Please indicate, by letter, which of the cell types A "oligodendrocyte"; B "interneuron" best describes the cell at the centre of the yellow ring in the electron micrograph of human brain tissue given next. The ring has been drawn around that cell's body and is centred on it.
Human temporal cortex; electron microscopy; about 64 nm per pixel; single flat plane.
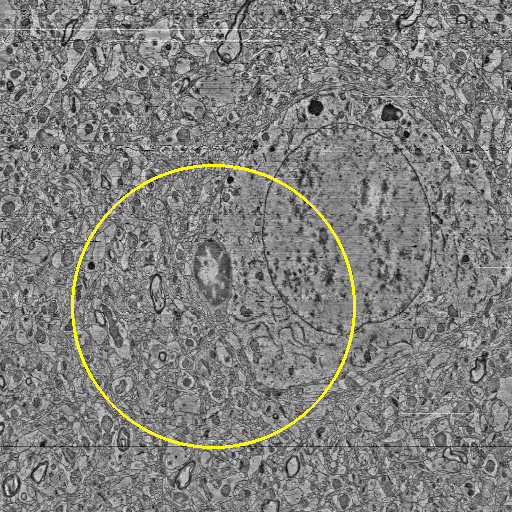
A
